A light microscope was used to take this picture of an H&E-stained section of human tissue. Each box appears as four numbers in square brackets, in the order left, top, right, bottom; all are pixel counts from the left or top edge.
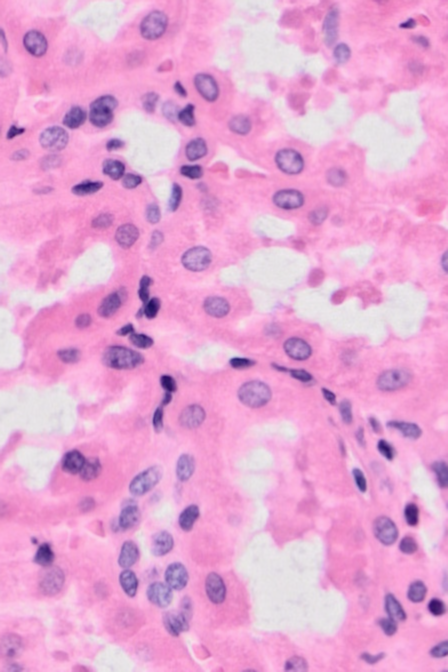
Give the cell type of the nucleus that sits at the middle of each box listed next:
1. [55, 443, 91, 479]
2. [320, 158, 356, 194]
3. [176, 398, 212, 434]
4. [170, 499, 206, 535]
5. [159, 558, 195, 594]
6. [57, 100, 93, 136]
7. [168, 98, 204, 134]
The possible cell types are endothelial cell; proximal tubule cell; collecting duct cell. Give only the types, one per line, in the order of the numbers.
proximal tubule cell
proximal tubule cell
proximal tubule cell
collecting duct cell
collecting duct cell
collecting duct cell
collecting duct cell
